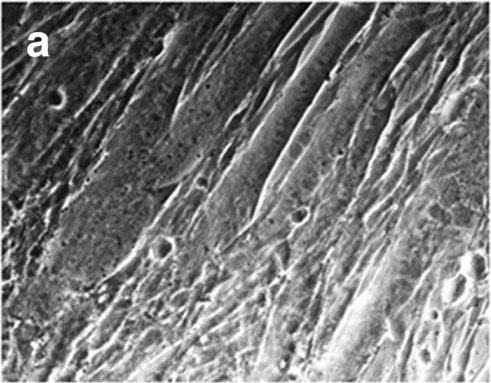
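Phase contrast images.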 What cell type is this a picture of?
Myotubes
